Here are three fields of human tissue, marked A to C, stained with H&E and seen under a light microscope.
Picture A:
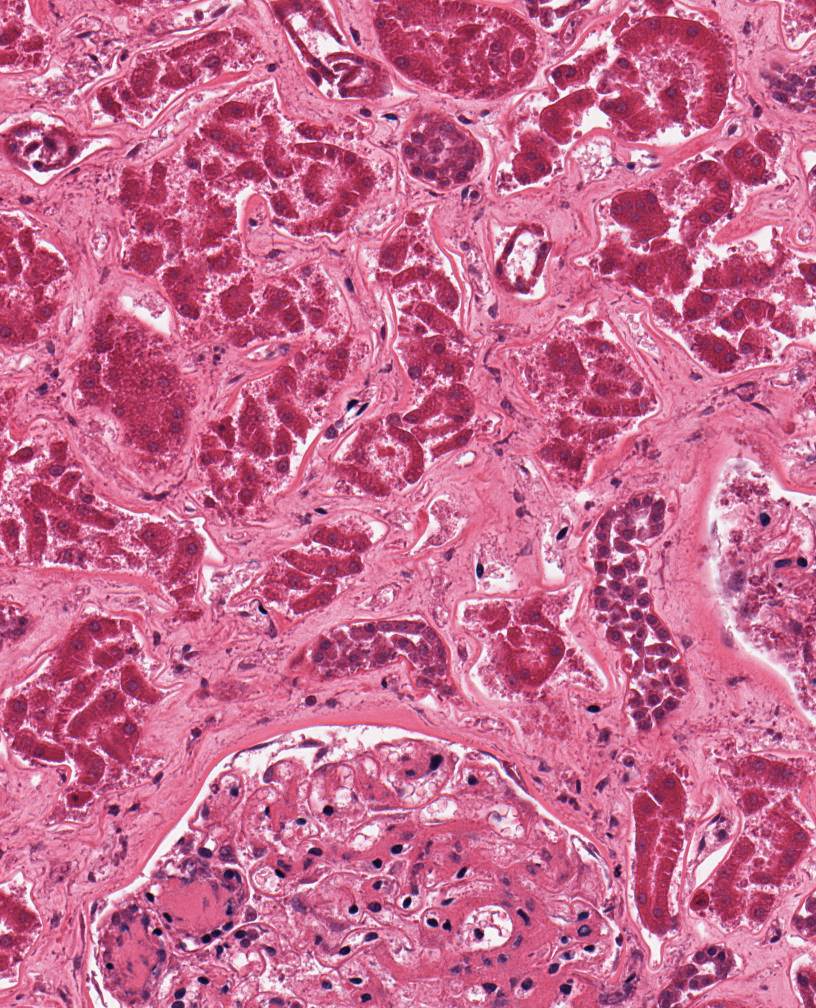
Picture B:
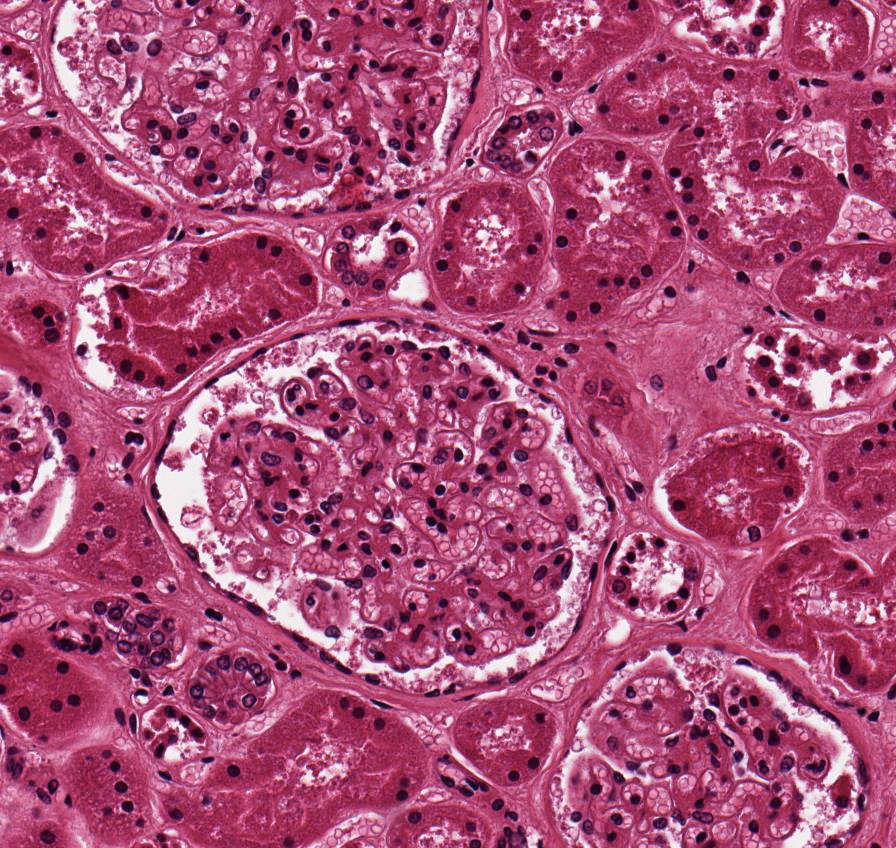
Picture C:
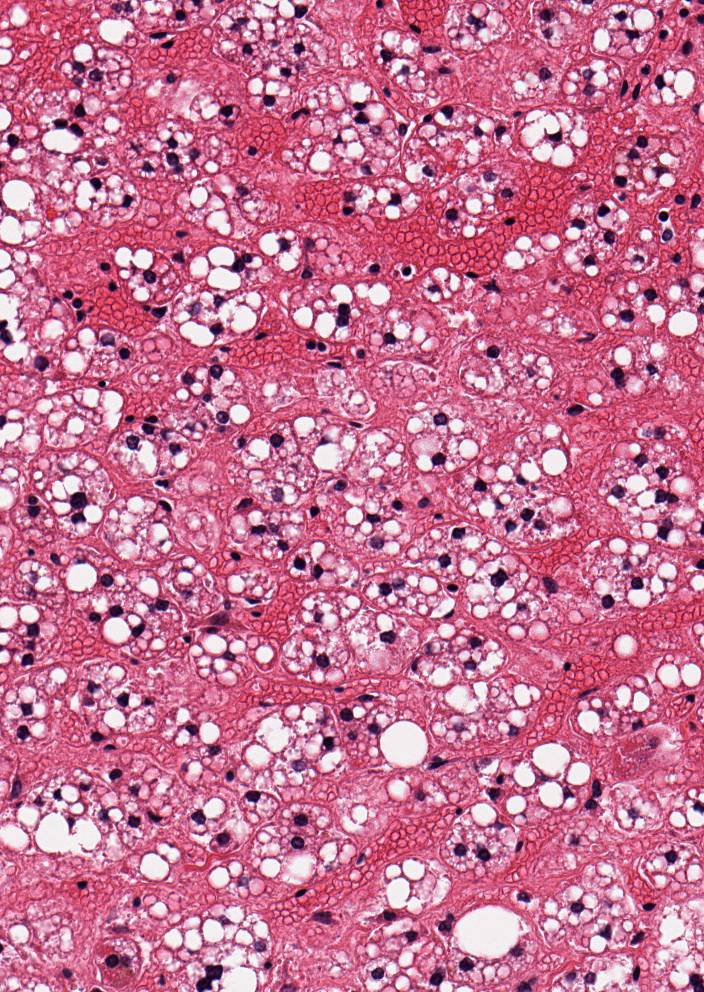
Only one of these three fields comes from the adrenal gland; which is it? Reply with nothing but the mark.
C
